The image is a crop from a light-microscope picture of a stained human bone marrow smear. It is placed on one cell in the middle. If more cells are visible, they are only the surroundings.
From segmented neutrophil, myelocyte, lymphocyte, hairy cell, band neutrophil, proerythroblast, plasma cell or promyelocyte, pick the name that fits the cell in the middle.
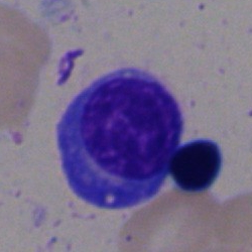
plasma cell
